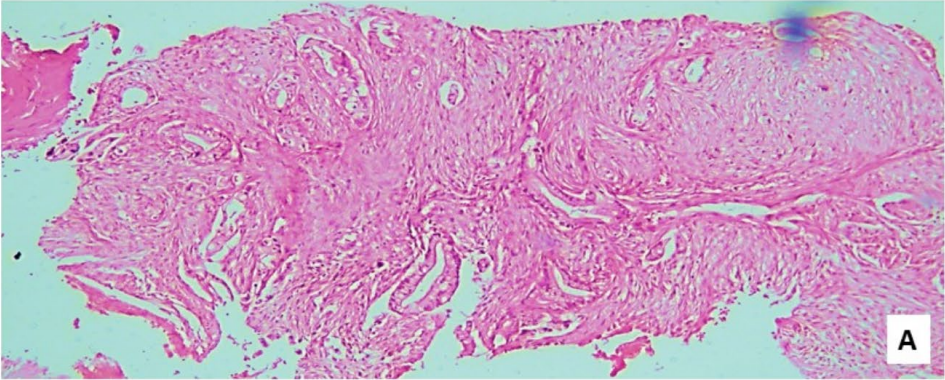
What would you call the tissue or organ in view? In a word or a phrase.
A: Desmoplastic stroma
